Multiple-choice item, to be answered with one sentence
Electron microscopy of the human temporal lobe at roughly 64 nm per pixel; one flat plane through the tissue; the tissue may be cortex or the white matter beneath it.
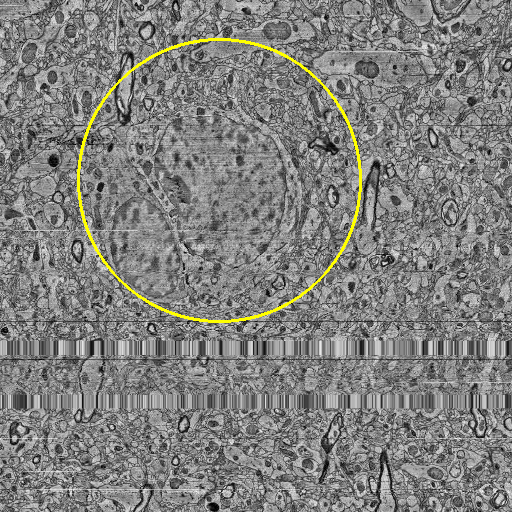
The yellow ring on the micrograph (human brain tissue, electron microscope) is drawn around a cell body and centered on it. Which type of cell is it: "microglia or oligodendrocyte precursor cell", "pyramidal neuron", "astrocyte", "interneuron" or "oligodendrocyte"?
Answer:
The ring is centered on an interneuron.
